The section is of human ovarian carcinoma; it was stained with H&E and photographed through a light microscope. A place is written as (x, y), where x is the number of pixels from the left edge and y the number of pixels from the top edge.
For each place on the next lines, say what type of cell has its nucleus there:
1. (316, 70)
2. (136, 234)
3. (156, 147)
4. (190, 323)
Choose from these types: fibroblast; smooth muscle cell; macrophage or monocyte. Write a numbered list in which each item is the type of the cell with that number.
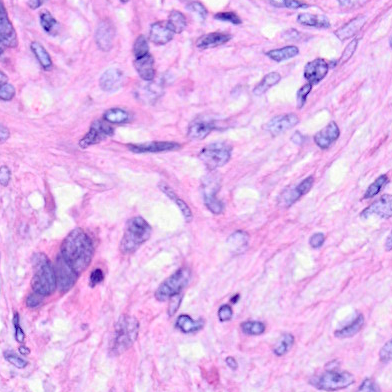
1. macrophage or monocyte
2. fibroblast
3. fibroblast
4. fibroblast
